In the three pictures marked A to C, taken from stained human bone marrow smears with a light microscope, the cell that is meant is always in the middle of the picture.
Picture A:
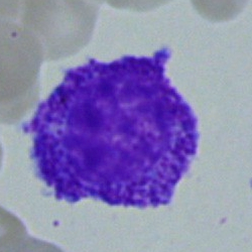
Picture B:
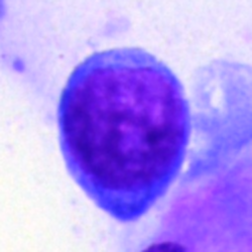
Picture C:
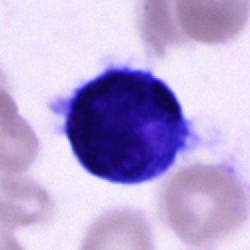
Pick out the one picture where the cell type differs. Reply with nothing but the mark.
A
